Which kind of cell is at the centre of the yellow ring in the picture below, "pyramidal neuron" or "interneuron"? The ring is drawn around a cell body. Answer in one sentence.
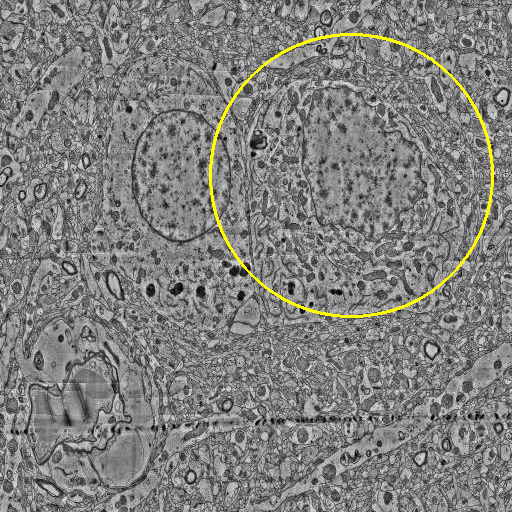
The ring's central cell is an interneuron.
